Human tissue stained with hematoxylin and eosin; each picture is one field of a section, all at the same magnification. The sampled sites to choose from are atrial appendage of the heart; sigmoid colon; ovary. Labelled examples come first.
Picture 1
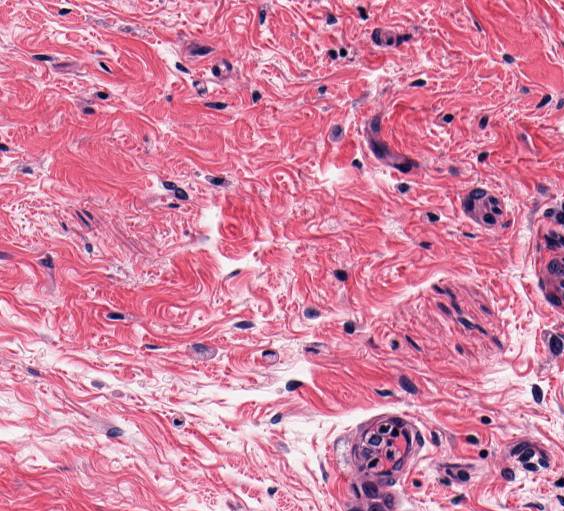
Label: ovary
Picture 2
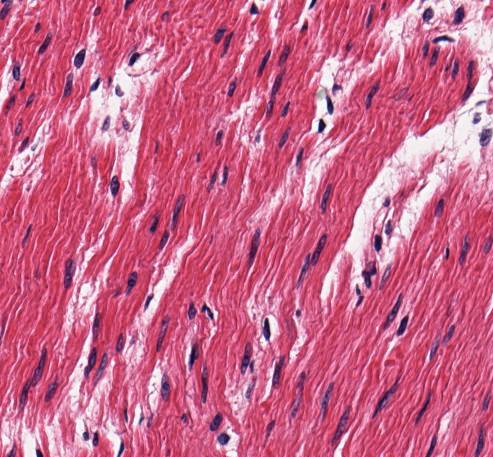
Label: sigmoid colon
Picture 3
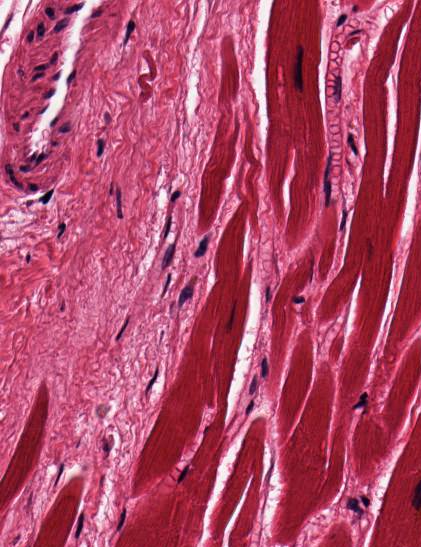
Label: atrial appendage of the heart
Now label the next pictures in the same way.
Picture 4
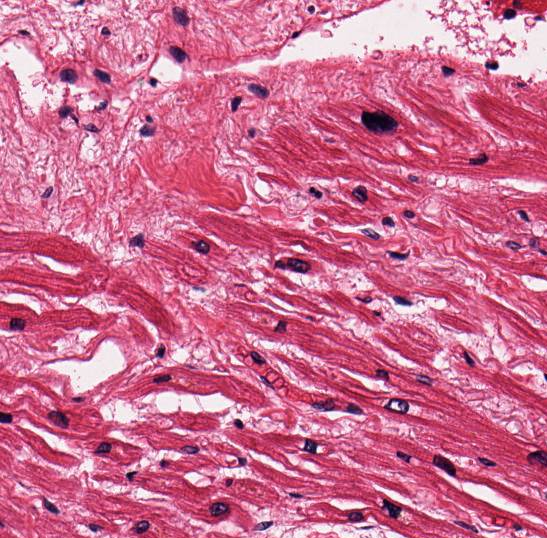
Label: atrial appendage of the heart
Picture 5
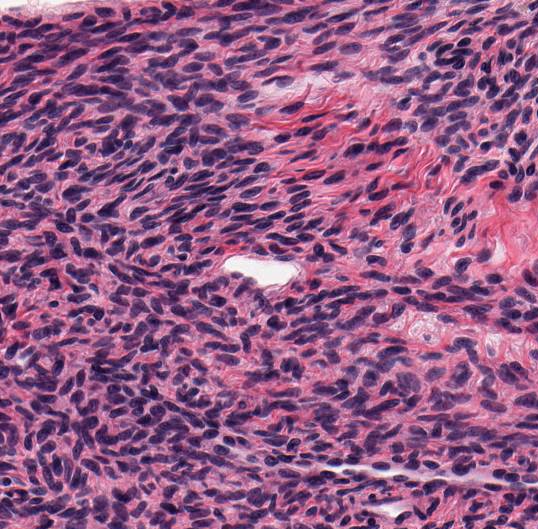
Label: ovary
